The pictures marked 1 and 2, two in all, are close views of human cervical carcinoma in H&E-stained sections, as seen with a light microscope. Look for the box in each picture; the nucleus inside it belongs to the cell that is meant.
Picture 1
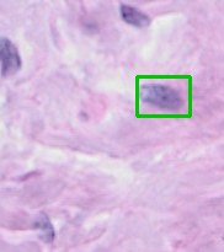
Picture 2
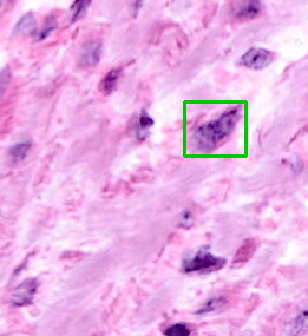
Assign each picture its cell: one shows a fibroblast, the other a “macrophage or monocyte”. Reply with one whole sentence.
Picture 1 is of a fibroblast, and picture 2 is of a “macrophage or monocyte”.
